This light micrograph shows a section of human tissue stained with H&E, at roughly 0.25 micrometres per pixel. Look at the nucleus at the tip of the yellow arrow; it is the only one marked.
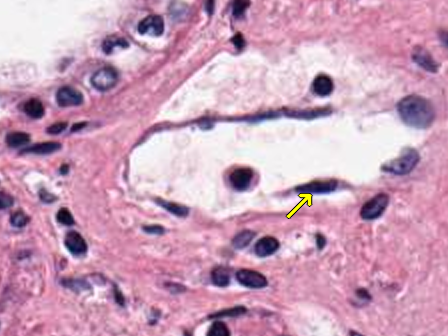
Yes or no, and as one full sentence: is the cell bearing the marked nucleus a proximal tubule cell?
No, the marked nucleus does not form part of a proximal tubule cell, being part of a supporting cell.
